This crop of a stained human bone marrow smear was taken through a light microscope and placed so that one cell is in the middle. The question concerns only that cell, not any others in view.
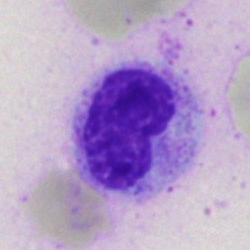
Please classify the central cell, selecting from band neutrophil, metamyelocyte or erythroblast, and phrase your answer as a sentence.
In this smear crop, the middle cell is a metamyelocyte.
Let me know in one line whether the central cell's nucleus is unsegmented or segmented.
What stands out is a nucleus forming one compact round, oval or kidney-shaped mass.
